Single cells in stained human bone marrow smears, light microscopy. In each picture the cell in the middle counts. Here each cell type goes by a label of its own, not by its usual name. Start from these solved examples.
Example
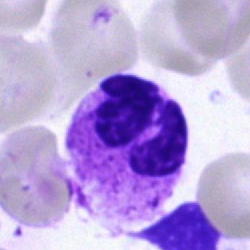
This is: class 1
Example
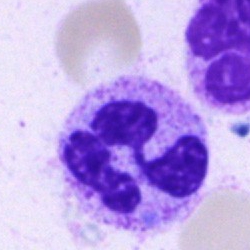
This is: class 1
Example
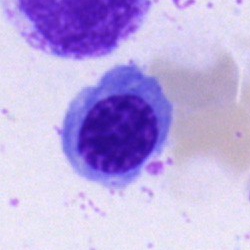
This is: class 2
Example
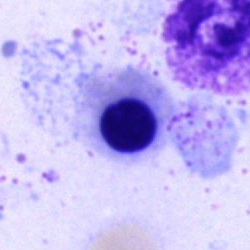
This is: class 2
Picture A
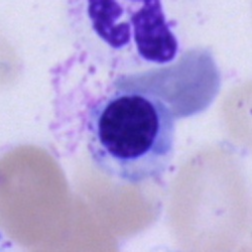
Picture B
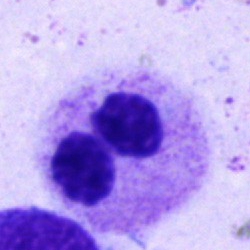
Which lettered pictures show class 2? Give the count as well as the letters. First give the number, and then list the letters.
1, namely A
